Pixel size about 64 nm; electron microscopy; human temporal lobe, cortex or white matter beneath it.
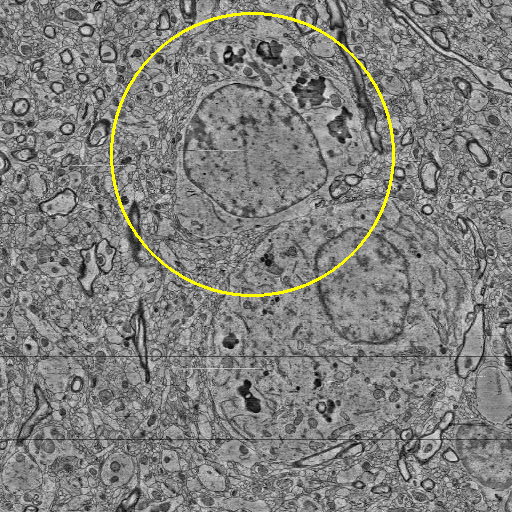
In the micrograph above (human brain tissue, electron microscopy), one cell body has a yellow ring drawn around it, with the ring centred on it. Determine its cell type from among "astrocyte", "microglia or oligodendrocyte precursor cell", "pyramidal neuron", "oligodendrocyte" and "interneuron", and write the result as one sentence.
The cell whose body is ringed is an astrocyte.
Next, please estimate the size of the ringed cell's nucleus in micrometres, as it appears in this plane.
The ringed cell's nucleus measures approximately 9 by 8 micrometres in this plane.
